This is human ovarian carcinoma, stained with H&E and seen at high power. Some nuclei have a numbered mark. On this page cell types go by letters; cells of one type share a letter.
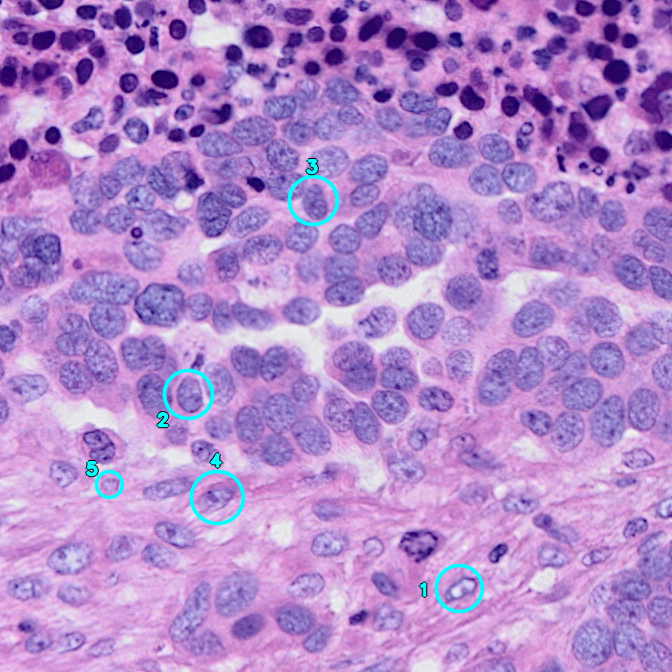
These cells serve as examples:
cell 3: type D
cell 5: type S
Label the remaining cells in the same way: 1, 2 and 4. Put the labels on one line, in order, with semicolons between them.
type S; type D; type S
